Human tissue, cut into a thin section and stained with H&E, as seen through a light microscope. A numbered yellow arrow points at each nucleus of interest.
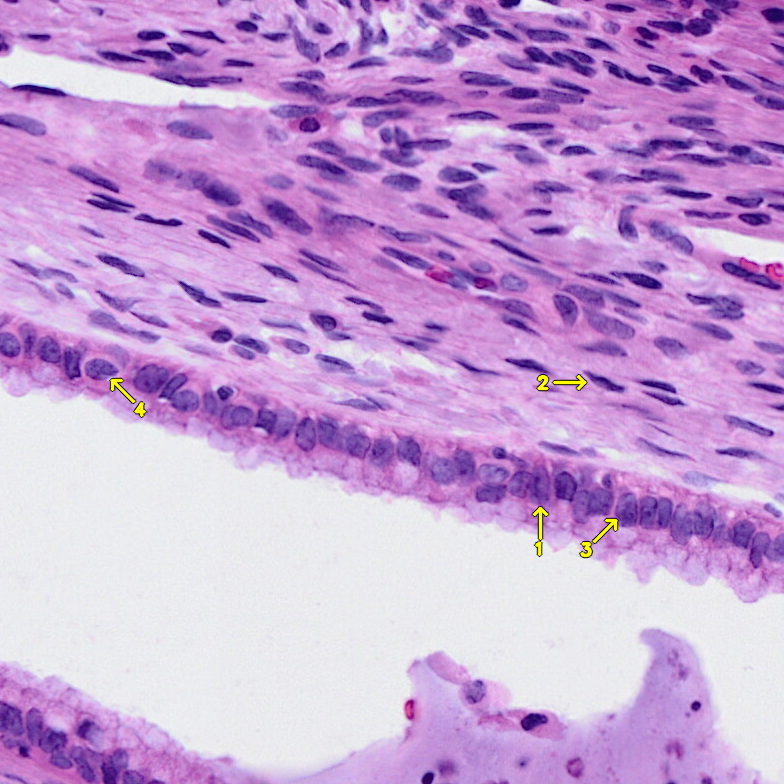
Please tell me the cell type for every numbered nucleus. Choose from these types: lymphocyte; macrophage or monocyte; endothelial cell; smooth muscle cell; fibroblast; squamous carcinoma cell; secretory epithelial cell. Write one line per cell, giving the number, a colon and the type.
1: secretory epithelial cell
2: fibroblast
3: secretory epithelial cell
4: secretory epithelial cell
